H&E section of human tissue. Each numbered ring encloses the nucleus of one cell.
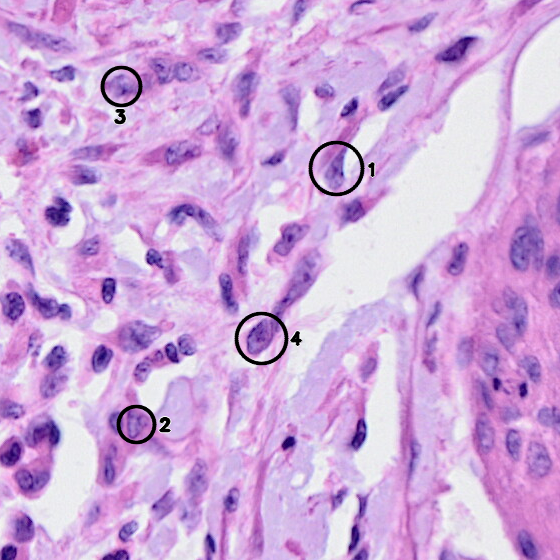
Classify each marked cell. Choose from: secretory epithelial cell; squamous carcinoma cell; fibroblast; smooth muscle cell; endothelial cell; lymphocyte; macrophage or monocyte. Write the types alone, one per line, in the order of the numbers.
fibroblast
endothelial cell
fibroblast
macrophage or monocyte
